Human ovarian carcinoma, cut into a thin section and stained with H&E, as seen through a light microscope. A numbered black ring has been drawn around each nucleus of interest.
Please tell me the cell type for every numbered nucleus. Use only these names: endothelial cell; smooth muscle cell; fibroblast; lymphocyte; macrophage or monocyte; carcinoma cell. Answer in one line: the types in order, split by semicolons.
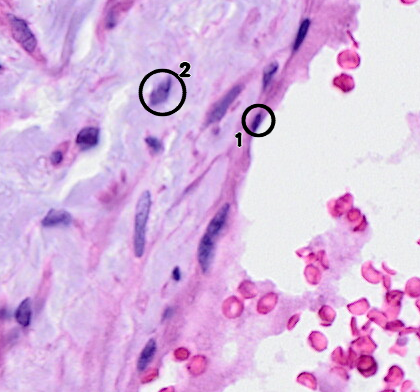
endothelial cell; fibroblast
